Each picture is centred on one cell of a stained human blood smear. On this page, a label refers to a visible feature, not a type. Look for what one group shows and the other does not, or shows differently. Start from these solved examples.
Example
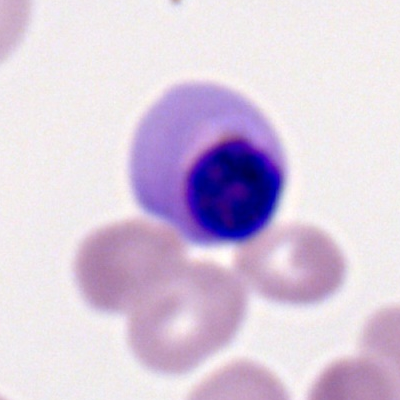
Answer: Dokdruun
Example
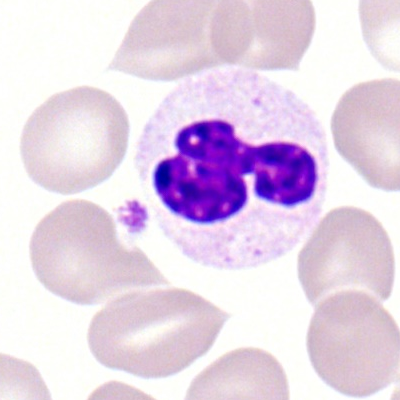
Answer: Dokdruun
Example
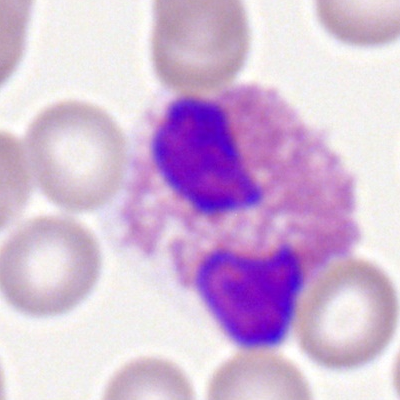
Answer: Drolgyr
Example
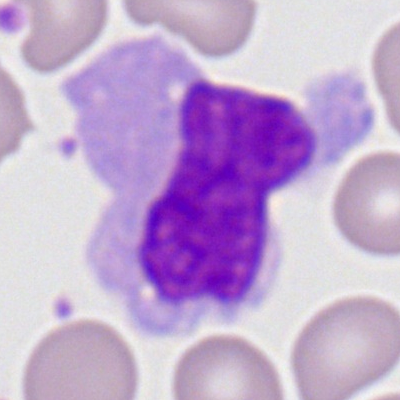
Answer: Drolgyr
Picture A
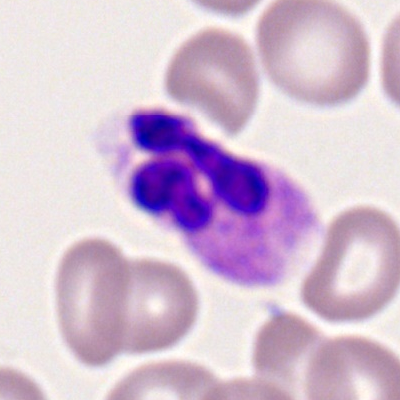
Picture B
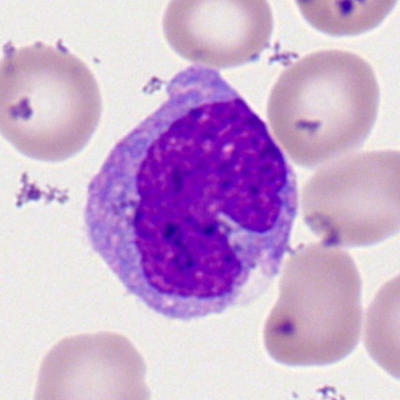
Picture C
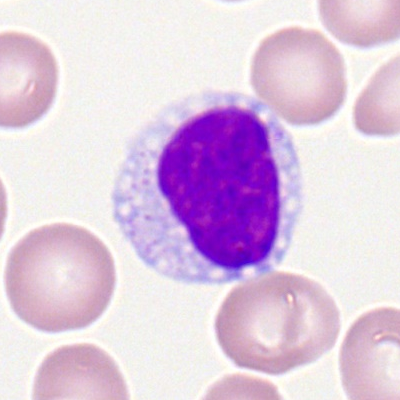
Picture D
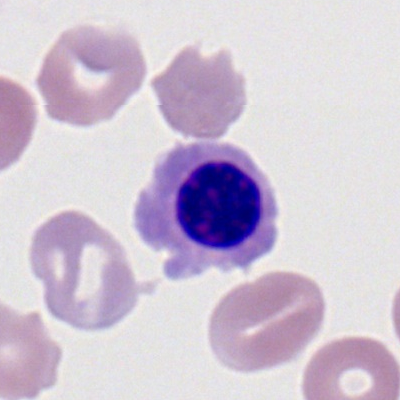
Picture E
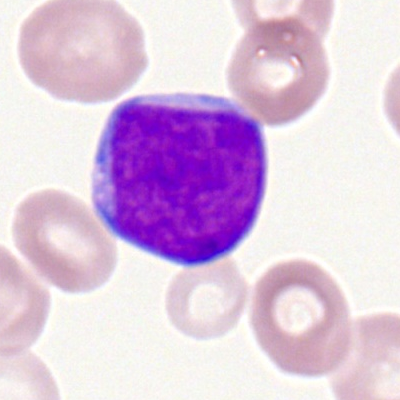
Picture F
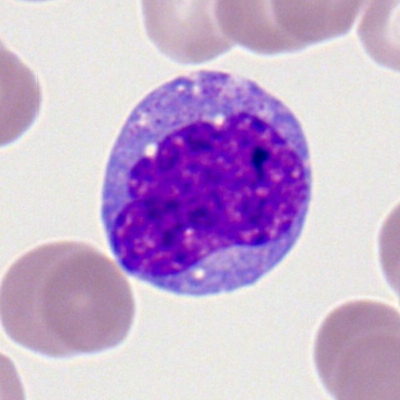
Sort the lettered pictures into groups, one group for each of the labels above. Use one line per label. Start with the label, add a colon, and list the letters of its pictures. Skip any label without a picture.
Dokdruun: C, E, F
Drolgyr: A, B, D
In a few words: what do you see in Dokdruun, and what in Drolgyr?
Seen in Dokdruun: smooth outline; seen in Drolgyr: ragged outline or projections.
